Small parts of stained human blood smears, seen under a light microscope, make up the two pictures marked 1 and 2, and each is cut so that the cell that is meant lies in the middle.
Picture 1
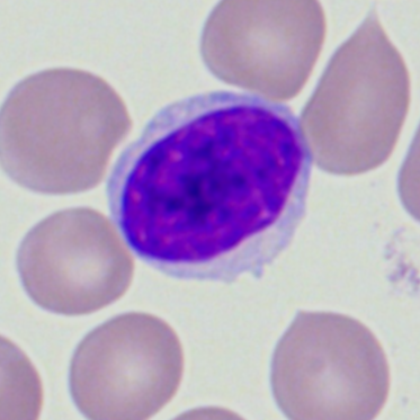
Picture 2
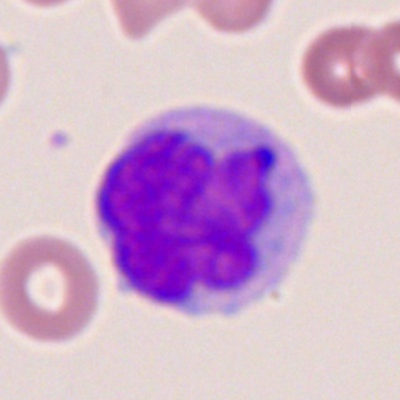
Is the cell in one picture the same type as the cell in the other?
no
